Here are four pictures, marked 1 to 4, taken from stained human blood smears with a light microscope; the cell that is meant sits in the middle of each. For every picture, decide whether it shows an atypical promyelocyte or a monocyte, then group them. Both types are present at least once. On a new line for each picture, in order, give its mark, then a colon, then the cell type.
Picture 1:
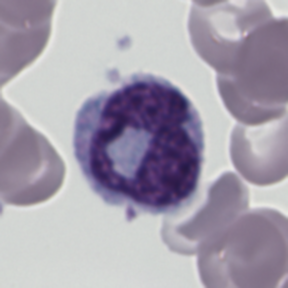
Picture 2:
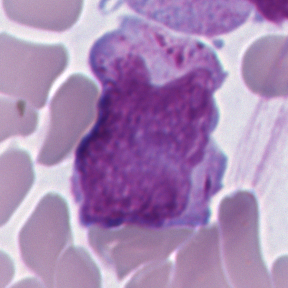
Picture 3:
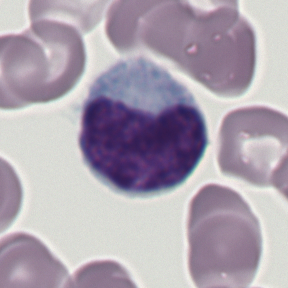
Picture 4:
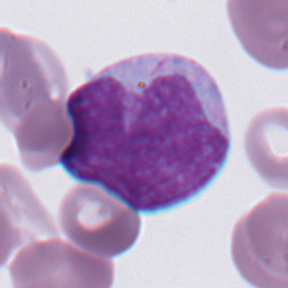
1: monocyte
2: atypical promyelocyte
3: monocyte
4: atypical promyelocyte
